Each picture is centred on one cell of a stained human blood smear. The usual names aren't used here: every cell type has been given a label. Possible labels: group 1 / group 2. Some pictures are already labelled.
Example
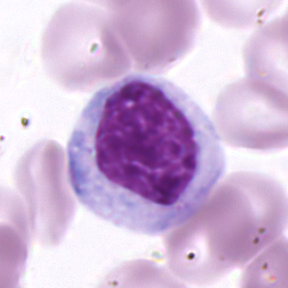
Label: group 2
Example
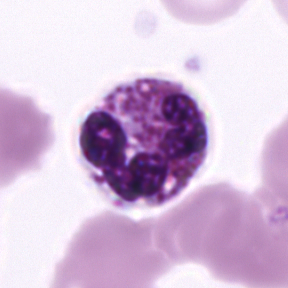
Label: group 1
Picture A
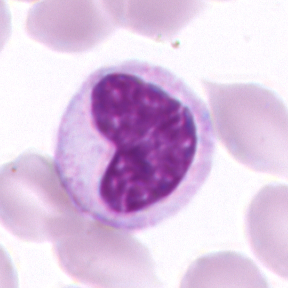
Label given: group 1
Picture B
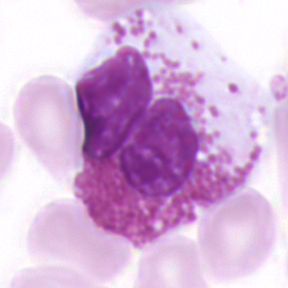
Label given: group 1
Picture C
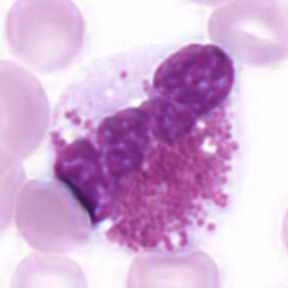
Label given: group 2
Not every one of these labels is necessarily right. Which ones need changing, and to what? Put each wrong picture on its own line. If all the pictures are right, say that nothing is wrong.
A is labelled group 1; correct label: group 2
C is labelled group 2; correct label: group 1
